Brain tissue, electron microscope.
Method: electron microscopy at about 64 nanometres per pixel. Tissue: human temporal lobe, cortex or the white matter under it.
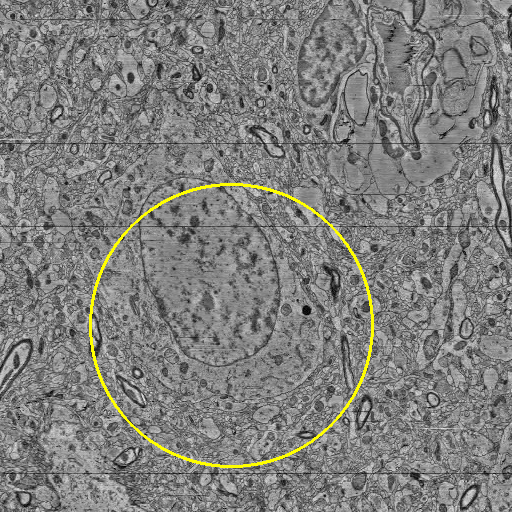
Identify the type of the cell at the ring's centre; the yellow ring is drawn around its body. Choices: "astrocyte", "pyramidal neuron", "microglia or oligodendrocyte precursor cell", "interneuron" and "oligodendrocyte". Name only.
pyramidal neuron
